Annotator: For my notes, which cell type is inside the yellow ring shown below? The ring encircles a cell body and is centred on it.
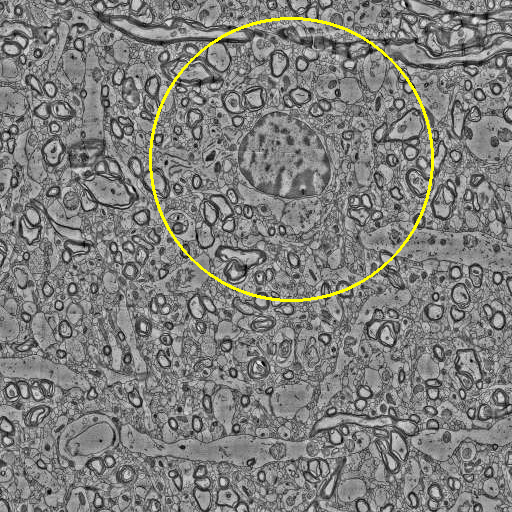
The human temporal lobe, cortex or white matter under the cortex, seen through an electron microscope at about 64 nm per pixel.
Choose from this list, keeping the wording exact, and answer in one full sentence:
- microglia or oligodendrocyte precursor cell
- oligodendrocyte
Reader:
At the centre of the yellow ring there is a microglial cell or oligodendrocyte precursor cell, as shown in the picture.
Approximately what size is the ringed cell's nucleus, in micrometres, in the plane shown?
Approximately 6 x 5 micrometres in this plane.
